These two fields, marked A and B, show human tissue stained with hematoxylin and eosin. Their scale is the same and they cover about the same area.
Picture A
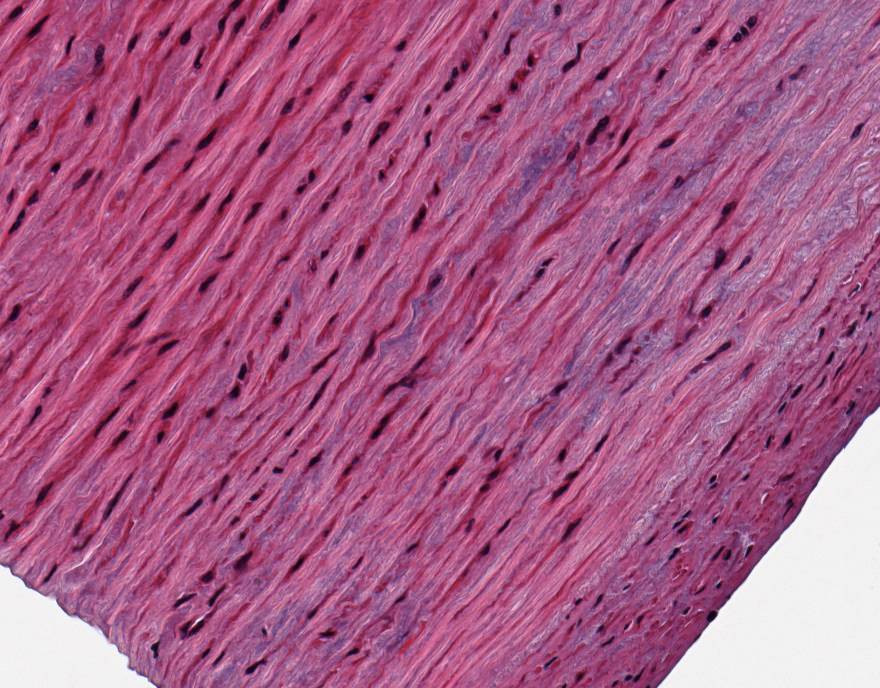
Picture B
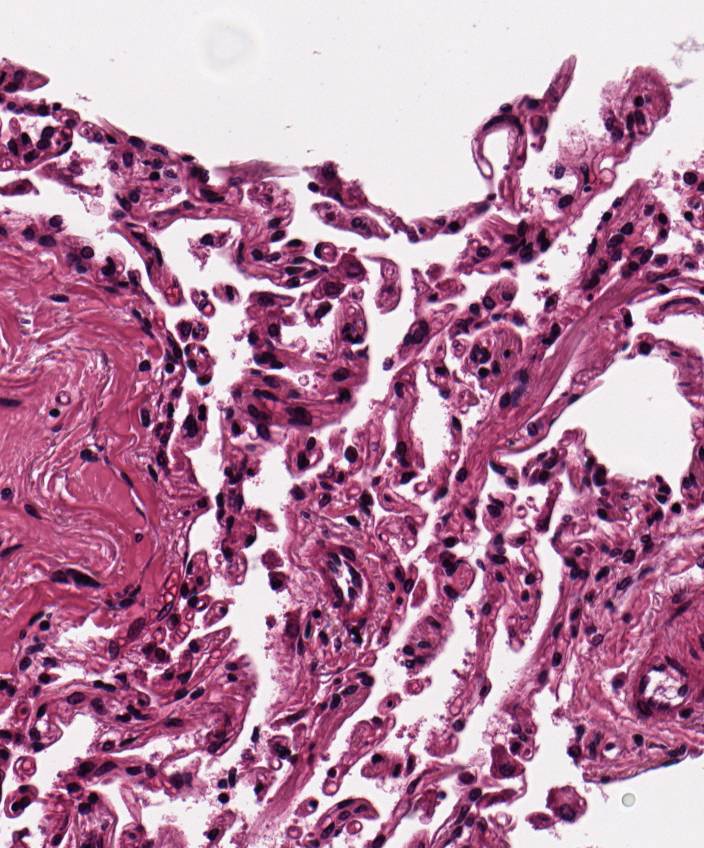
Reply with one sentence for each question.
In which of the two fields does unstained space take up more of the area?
More of picture B is empty and white.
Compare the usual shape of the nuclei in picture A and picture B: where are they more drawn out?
It is picture A whose nuclei are the more elongated.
